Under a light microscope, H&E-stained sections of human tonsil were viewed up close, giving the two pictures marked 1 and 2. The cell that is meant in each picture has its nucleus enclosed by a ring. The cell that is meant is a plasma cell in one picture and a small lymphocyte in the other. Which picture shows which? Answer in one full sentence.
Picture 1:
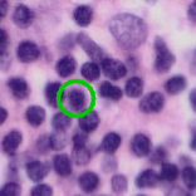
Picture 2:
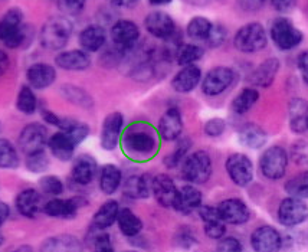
Picture 1 shows a small lymphocyte and picture 2 shows a plasma cell.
